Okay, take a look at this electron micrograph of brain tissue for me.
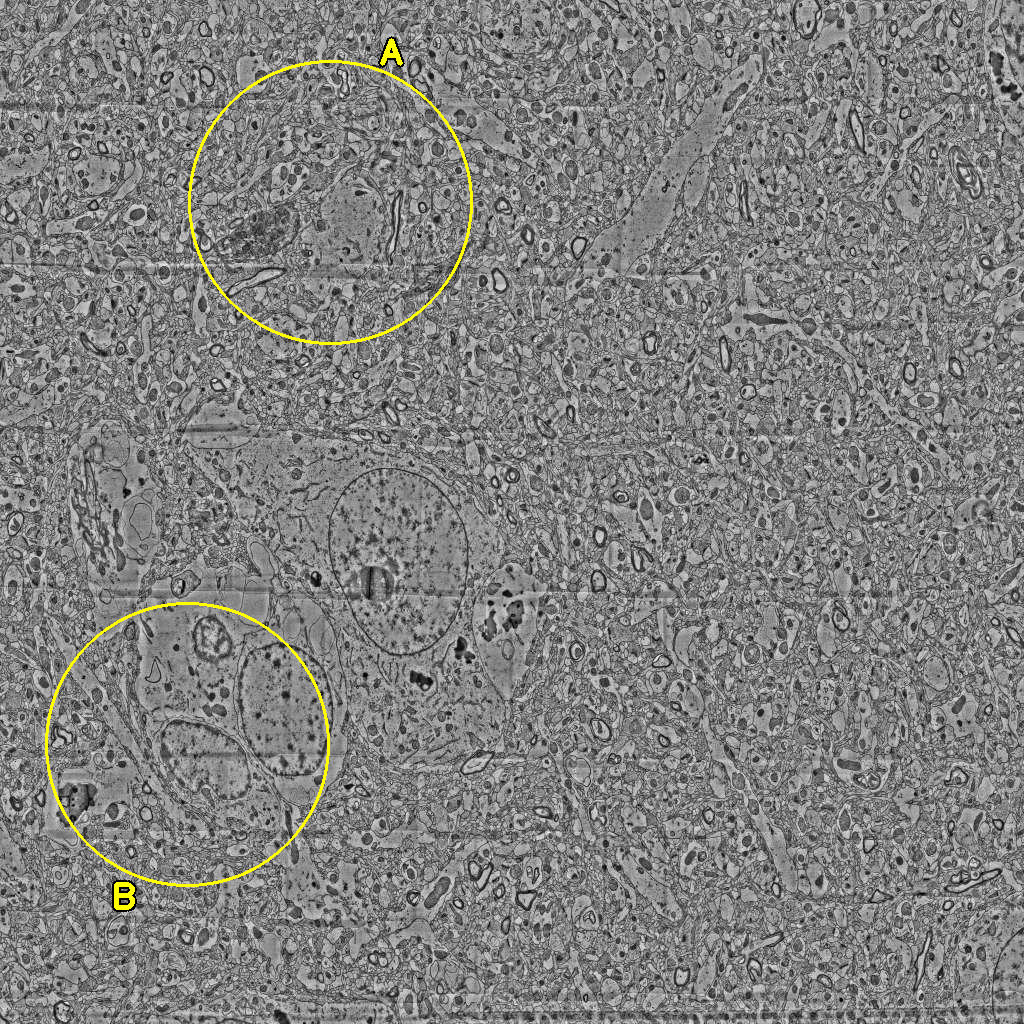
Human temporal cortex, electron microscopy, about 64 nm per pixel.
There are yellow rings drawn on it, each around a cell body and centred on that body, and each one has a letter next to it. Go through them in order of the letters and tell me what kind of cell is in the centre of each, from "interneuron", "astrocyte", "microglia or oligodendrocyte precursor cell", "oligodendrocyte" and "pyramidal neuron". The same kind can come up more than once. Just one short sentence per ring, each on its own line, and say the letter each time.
In the centre of ring A there's a microglial cell or oligodendrocyte precursor cell.
In the centre of ring B there's a microglial cell or oligodendrocyte precursor cell.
